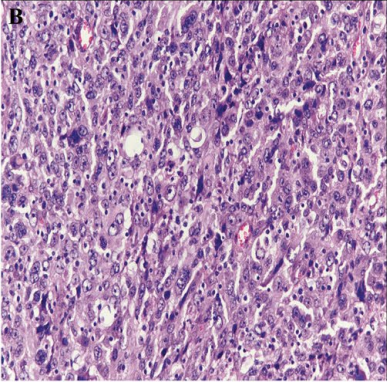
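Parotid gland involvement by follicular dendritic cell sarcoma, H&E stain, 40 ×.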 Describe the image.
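This is a sheet of large tumour cells with ample pale pink cytoplasm and fairly open, round to oval nuclei, many with a single prominent nucleolus near the centre. Scattered among them are a few much larger cells with big, dark, irregular nuclei, clearly atypical. A few small lymphocytes with compact round dark nuclei are sprinkled between the large cells, and thin blood vessels with red cells run through the sheet.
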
